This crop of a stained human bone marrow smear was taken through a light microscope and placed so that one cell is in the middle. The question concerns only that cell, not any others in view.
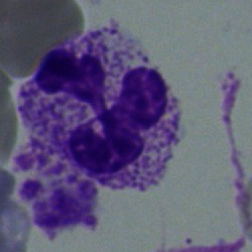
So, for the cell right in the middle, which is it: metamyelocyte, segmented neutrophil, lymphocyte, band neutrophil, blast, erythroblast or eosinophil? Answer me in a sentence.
The target cell in the middle of the crop is a segmented neutrophil.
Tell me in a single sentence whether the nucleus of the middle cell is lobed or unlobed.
What stands out is the nucleus, split into two or more lobes.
